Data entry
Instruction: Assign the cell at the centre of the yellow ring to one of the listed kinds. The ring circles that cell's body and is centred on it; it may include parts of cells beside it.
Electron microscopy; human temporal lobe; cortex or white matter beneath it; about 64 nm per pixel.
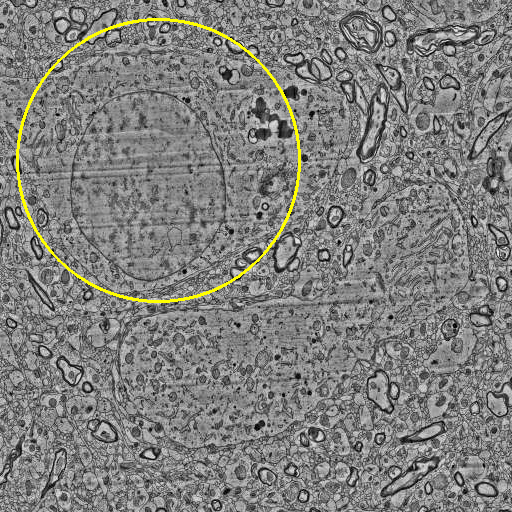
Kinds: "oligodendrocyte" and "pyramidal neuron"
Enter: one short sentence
The centre of the ring falls on a pyramidal neuron.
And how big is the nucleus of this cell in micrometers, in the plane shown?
In this plane the nucleus measures roughly 12 by 10 micrometres.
